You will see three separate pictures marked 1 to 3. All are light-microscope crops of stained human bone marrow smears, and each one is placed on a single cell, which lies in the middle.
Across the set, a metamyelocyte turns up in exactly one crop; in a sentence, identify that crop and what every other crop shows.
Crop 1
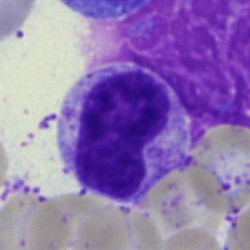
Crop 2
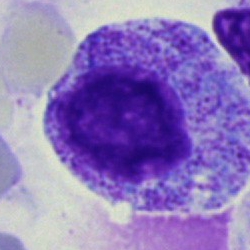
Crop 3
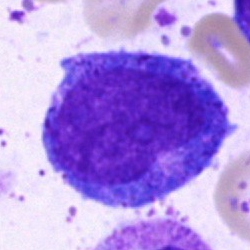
In the crop designated 1, the cell is a metamyelocyte, while crop 2 is a myelocyte and crop 3 is a promyelocyte.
